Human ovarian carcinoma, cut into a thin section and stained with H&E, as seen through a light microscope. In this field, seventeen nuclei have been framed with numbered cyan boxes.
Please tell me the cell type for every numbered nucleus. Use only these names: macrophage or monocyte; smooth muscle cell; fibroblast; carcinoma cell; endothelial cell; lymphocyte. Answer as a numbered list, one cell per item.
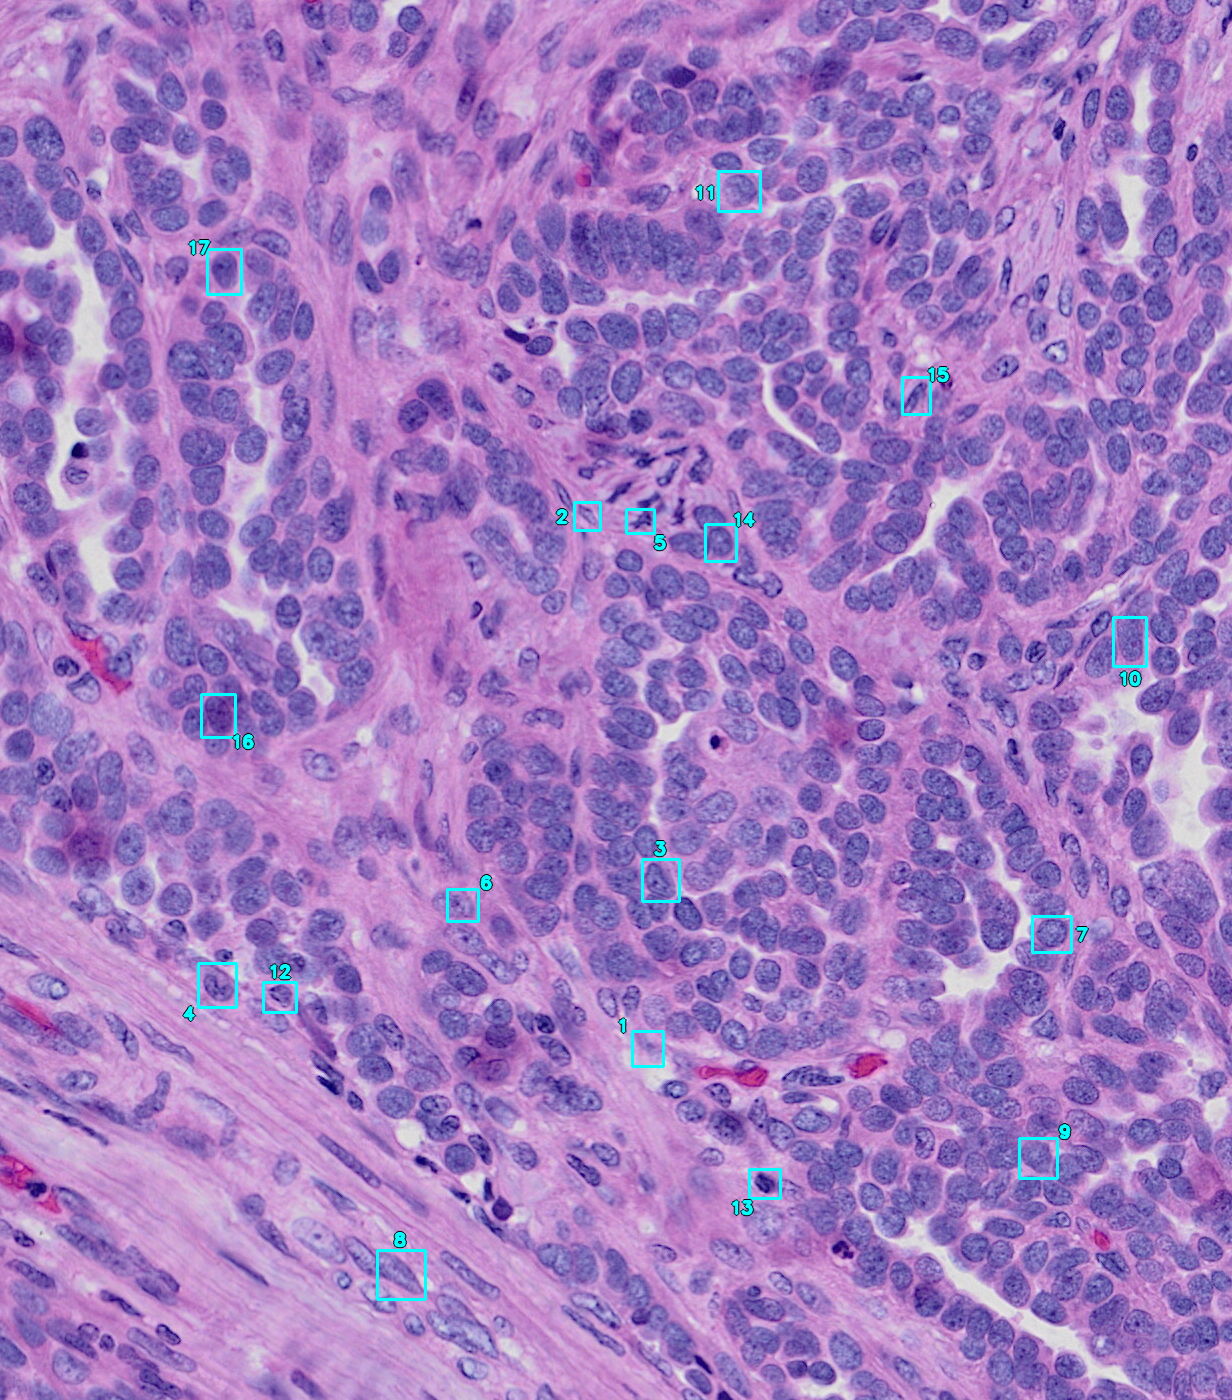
1. fibroblast
2. fibroblast
3. carcinoma cell
4. macrophage or monocyte
5. fibroblast
6. fibroblast
7. carcinoma cell
8. endothelial cell
9. carcinoma cell
10. carcinoma cell
11. carcinoma cell
12. macrophage or monocyte
13. lymphocyte
14. carcinoma cell
15. fibroblast
16. carcinoma cell
17. carcinoma cell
